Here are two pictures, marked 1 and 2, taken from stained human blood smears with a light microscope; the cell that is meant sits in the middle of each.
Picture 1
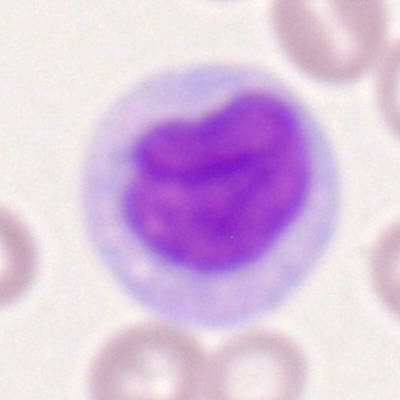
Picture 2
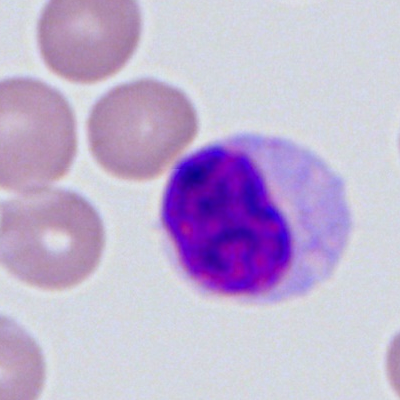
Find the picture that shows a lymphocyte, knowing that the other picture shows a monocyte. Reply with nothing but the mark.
2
